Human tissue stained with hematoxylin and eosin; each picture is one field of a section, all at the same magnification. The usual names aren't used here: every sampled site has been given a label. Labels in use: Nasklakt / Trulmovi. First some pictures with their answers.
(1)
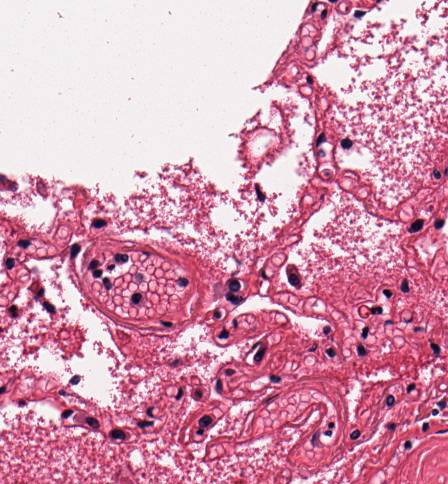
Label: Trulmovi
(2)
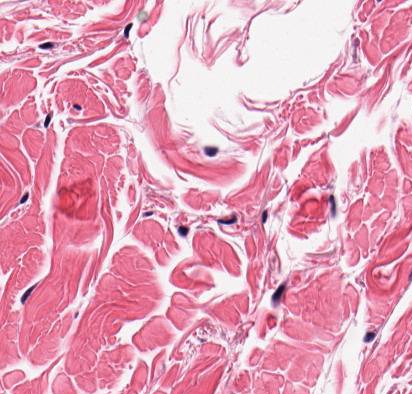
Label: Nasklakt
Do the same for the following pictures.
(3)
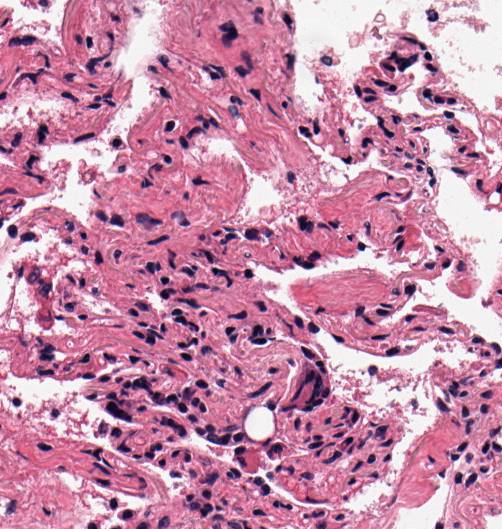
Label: Trulmovi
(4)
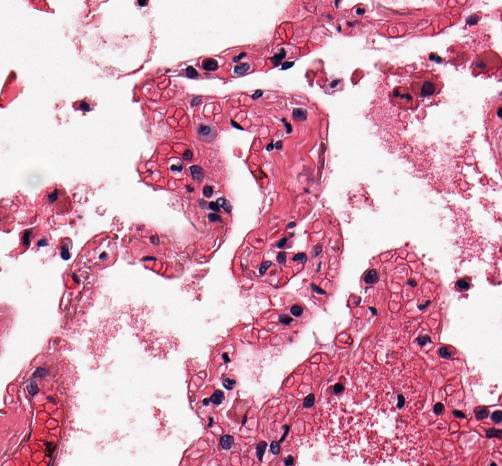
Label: Trulmovi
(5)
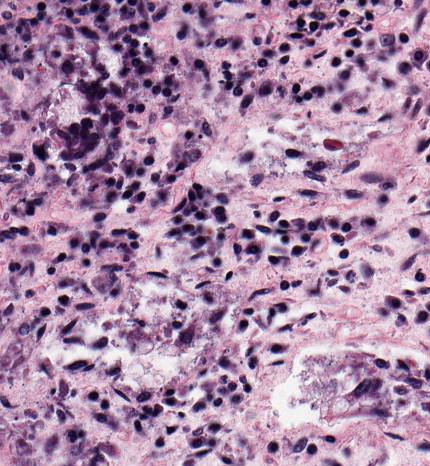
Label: Nasklakt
